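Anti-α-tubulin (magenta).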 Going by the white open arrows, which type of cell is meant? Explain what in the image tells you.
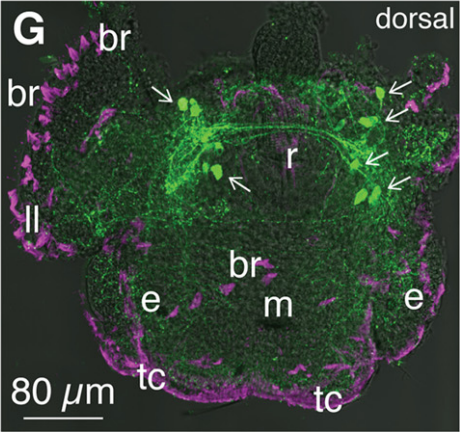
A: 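Clusters of rounded green cell bodies lie on both sides of the head region. Green fibres link the clusters across the midline. That points to this answer: neurons of central ganglia.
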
